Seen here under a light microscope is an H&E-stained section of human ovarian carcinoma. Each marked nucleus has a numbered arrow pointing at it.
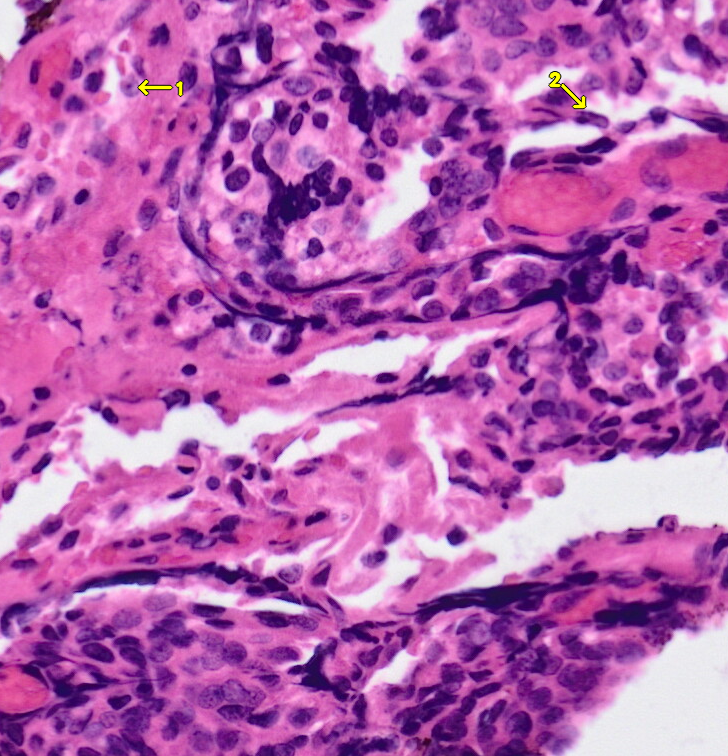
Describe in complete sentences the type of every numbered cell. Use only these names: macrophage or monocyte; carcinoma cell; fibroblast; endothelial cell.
Cell 1 is a macrophage or monocyte and cell 2 is a carcinoma cell.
